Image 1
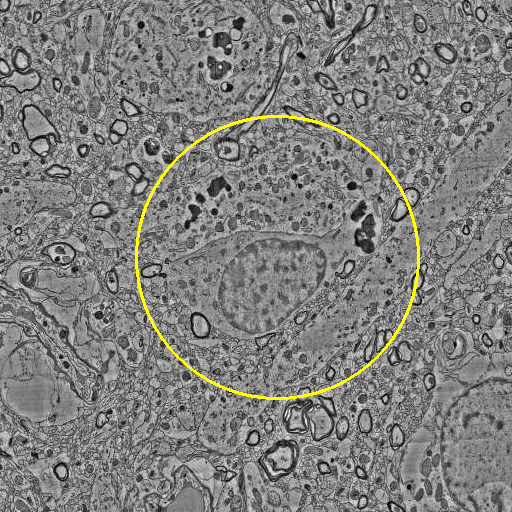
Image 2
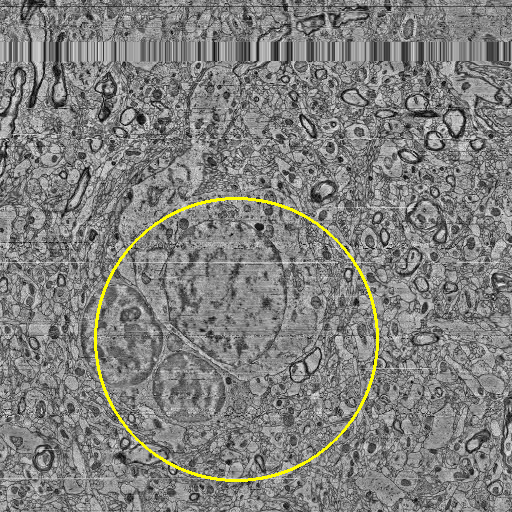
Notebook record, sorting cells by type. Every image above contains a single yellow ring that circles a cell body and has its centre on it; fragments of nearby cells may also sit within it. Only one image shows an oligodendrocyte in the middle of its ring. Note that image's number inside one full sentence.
For image 1, the cell in the middle of its yellow ring is the match.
